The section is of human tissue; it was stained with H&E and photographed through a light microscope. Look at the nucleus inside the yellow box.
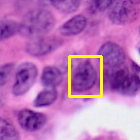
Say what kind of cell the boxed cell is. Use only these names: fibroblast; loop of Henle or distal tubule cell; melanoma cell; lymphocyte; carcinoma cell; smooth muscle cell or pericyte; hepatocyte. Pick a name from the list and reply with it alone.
carcinoma cell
